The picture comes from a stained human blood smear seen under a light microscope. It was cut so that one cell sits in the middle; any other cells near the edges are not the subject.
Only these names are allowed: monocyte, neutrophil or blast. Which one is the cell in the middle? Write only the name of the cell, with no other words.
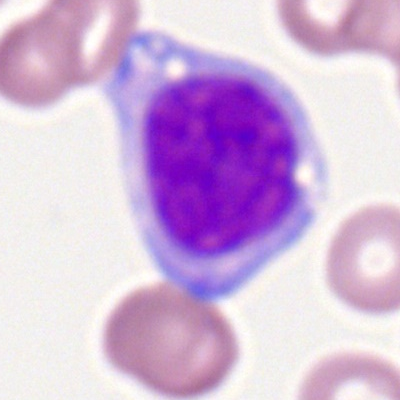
monocyte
